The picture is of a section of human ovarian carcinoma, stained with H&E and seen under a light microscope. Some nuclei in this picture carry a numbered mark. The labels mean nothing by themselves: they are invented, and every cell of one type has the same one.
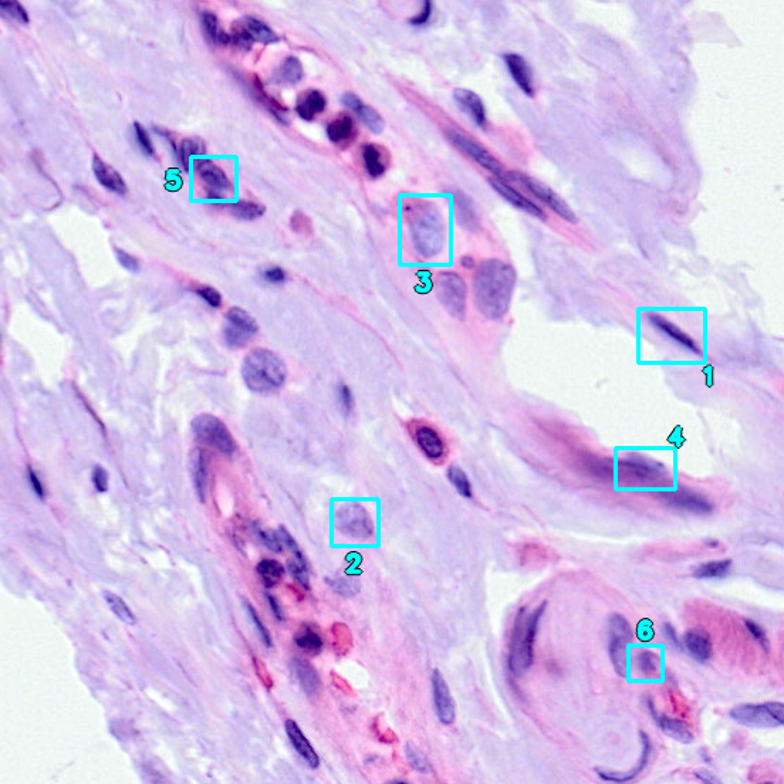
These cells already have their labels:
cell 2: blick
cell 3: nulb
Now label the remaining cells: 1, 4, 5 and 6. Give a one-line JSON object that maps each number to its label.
{"1": "blick", "4": "nulb", "5": "nulb", "6": "nulb"}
